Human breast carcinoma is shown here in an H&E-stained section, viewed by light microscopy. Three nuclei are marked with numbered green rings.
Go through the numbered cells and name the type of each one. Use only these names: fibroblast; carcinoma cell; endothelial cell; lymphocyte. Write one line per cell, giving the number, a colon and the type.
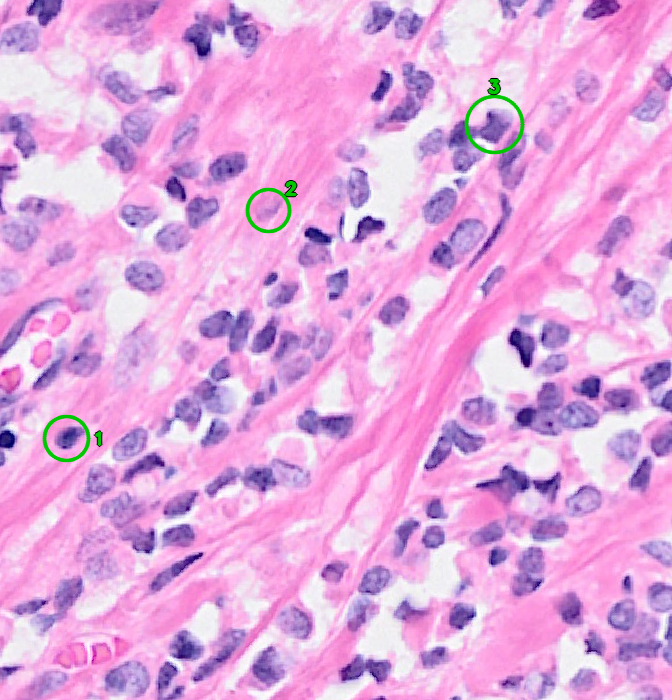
1: lymphocyte
2: fibroblast
3: carcinoma cell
